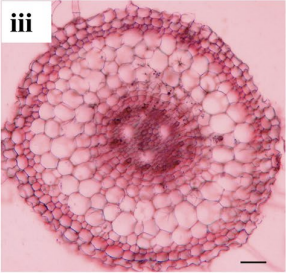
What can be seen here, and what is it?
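Here is another root cross-section, round in outline and tinted pink-purple throughout. Several outer layers consist of small, compact cells forming a firm rim around the section. Inward, the cortex is made of large, polygonal to rounded thin-walled cells arranged in concentric rings that become smaller toward the centre. The central cylinder is dense and darker purple, made of many small cells, with a few wide, open vessels of the xylem standing out as pale round holes among them. The strongest colour is concentrated in this central cylinder and in the outer rim of small cells.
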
